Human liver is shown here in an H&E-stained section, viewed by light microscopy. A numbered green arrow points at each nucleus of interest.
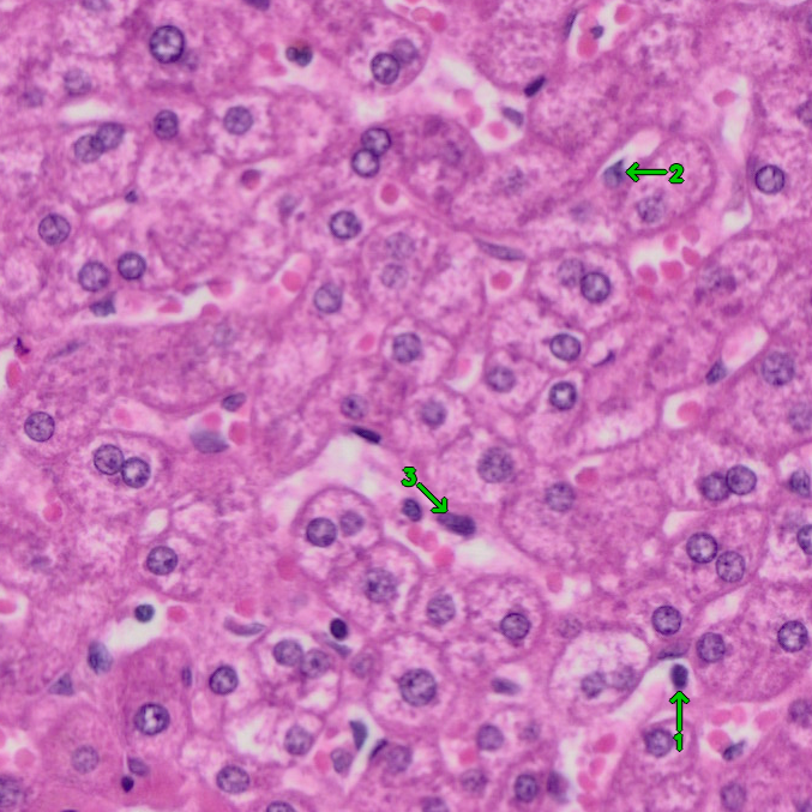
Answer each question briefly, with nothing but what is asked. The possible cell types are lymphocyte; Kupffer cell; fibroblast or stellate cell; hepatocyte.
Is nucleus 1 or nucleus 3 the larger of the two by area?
3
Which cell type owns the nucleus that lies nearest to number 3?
lymphocyte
